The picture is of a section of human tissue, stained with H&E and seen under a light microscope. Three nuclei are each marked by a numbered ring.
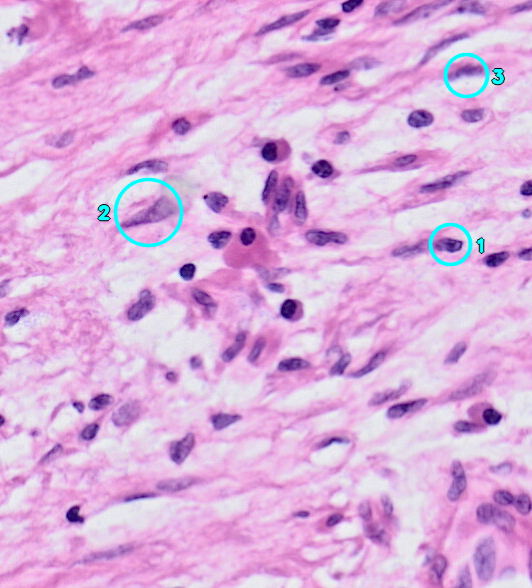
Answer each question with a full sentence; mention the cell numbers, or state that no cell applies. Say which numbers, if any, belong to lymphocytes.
No marked cell except number 1 is a lymphocyte.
